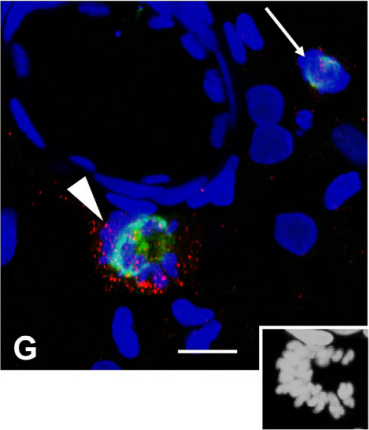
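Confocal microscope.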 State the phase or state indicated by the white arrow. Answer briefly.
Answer: Normal mitosis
